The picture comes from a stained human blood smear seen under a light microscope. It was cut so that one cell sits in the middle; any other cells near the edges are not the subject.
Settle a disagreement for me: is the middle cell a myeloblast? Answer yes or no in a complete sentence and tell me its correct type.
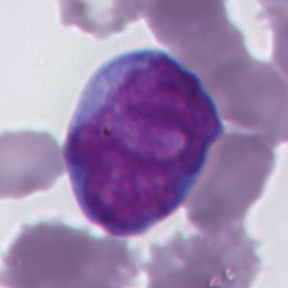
Yes, centred in the crop is a myeloblast.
